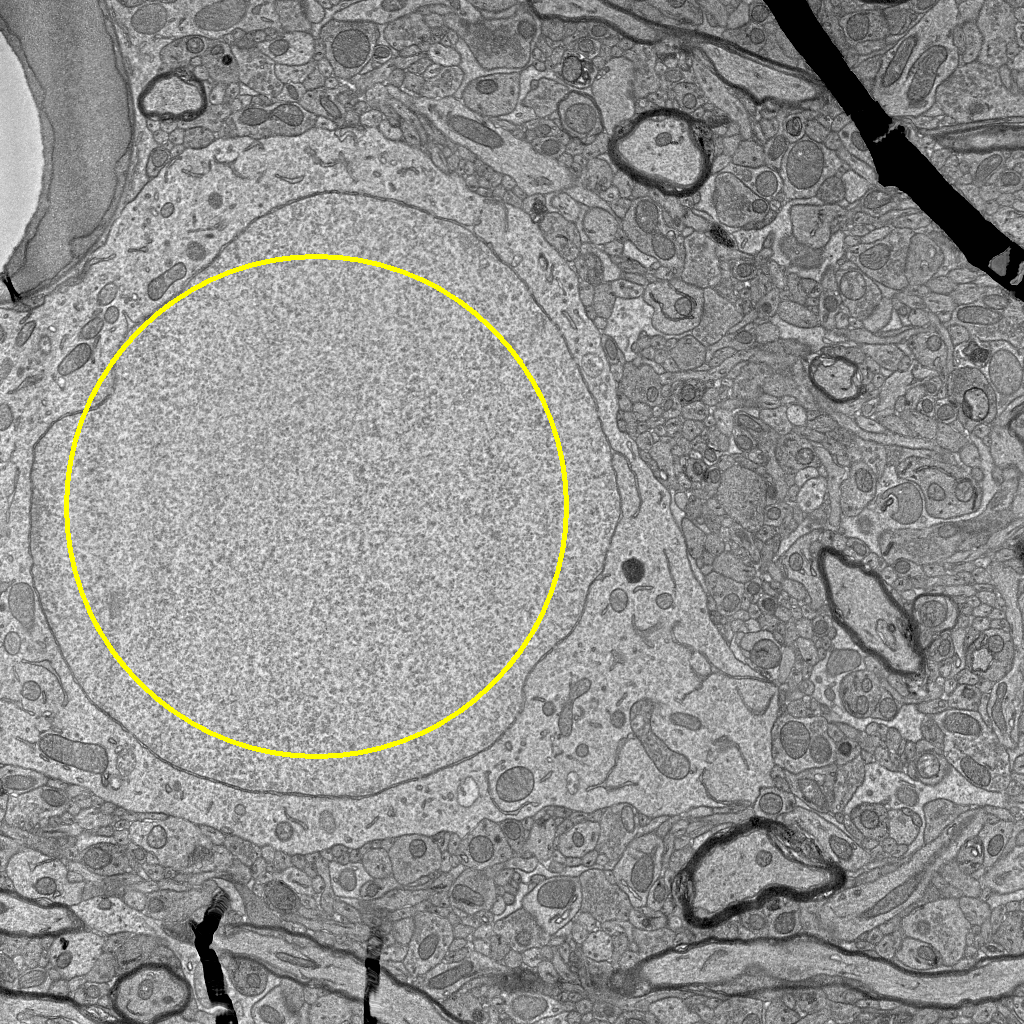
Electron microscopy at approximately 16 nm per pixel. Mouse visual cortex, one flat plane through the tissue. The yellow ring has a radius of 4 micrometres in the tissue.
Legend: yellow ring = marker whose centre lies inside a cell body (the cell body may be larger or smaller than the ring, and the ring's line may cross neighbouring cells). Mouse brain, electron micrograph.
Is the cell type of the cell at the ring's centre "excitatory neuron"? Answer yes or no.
yes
